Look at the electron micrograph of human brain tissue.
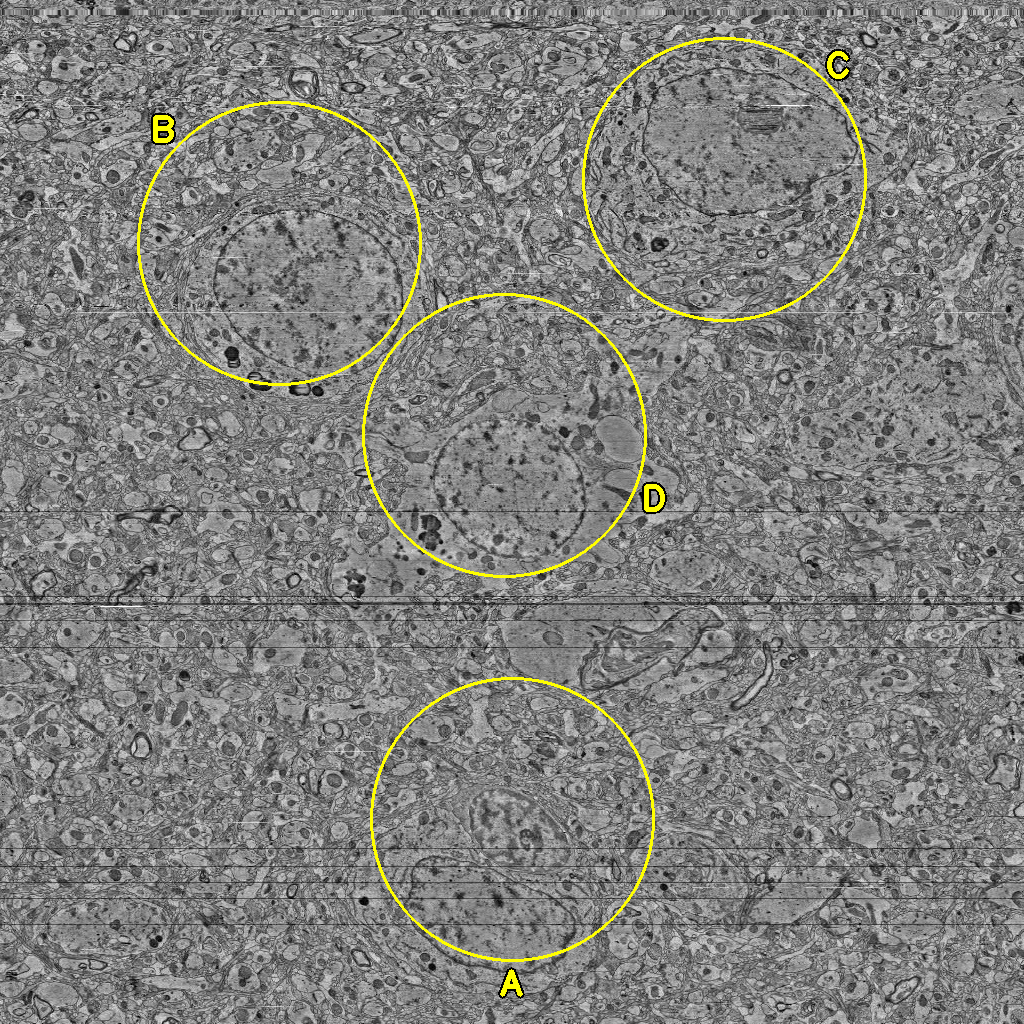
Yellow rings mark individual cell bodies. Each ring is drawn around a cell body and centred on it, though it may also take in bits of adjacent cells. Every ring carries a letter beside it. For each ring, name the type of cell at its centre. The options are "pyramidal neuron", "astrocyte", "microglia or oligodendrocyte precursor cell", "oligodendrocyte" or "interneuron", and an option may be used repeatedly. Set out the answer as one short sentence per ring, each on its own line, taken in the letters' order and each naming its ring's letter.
Ring A is drawn around an oligodendrocyte.
Ring B is drawn around a pyramidal neuron.
Ring C is drawn around a pyramidal neuron.
Ring D is drawn around an astrocyte.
